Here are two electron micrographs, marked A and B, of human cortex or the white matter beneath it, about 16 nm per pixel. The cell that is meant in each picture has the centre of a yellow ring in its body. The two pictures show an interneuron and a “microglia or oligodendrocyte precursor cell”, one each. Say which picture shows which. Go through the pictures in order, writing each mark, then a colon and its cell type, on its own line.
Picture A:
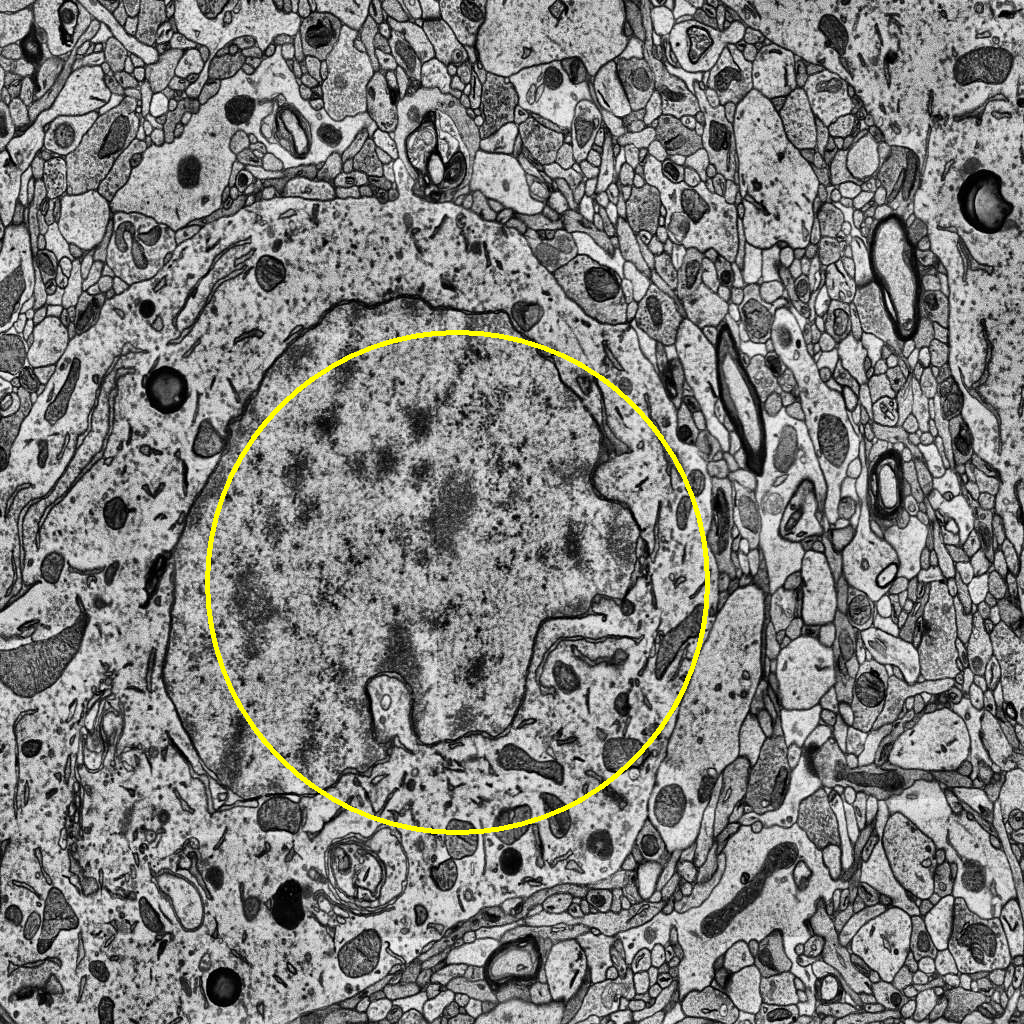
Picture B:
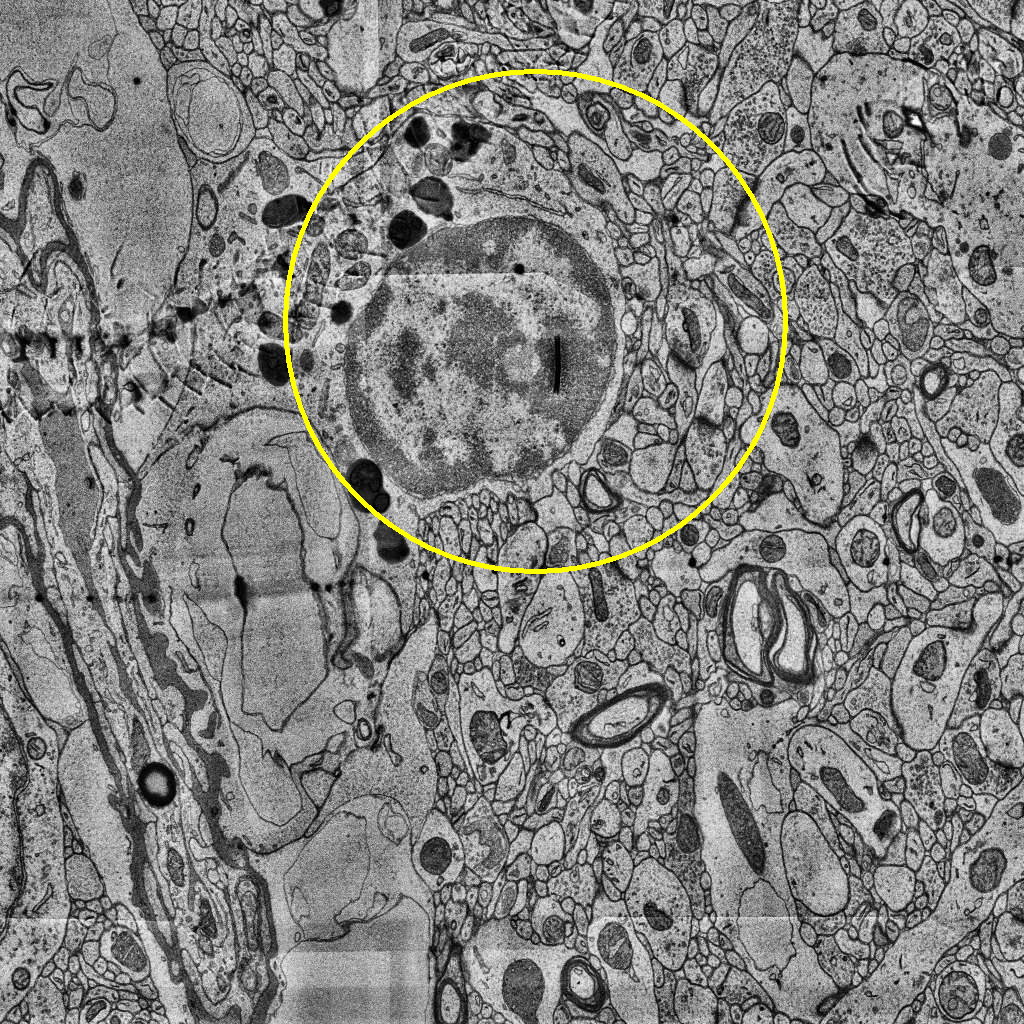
A: interneuron
B: microglia or oligodendrocyte precursor cell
